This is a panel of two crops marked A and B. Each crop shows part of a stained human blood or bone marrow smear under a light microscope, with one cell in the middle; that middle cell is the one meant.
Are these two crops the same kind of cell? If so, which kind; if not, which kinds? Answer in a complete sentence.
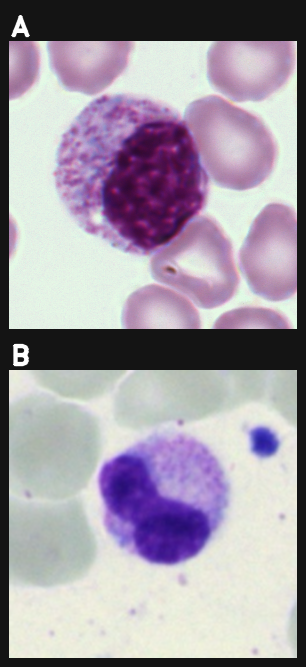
No, crop A carries a metamyelocyte at its centre, and crop B carries a band neutrophil.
